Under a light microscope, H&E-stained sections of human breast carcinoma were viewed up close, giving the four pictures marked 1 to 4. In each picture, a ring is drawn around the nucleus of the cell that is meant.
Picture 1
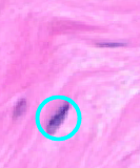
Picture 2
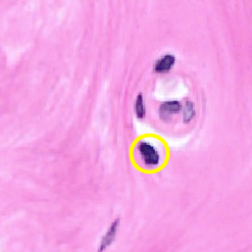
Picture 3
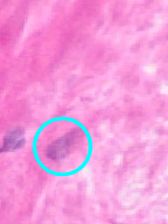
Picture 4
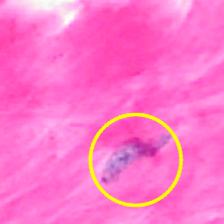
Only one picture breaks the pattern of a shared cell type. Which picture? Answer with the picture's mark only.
2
